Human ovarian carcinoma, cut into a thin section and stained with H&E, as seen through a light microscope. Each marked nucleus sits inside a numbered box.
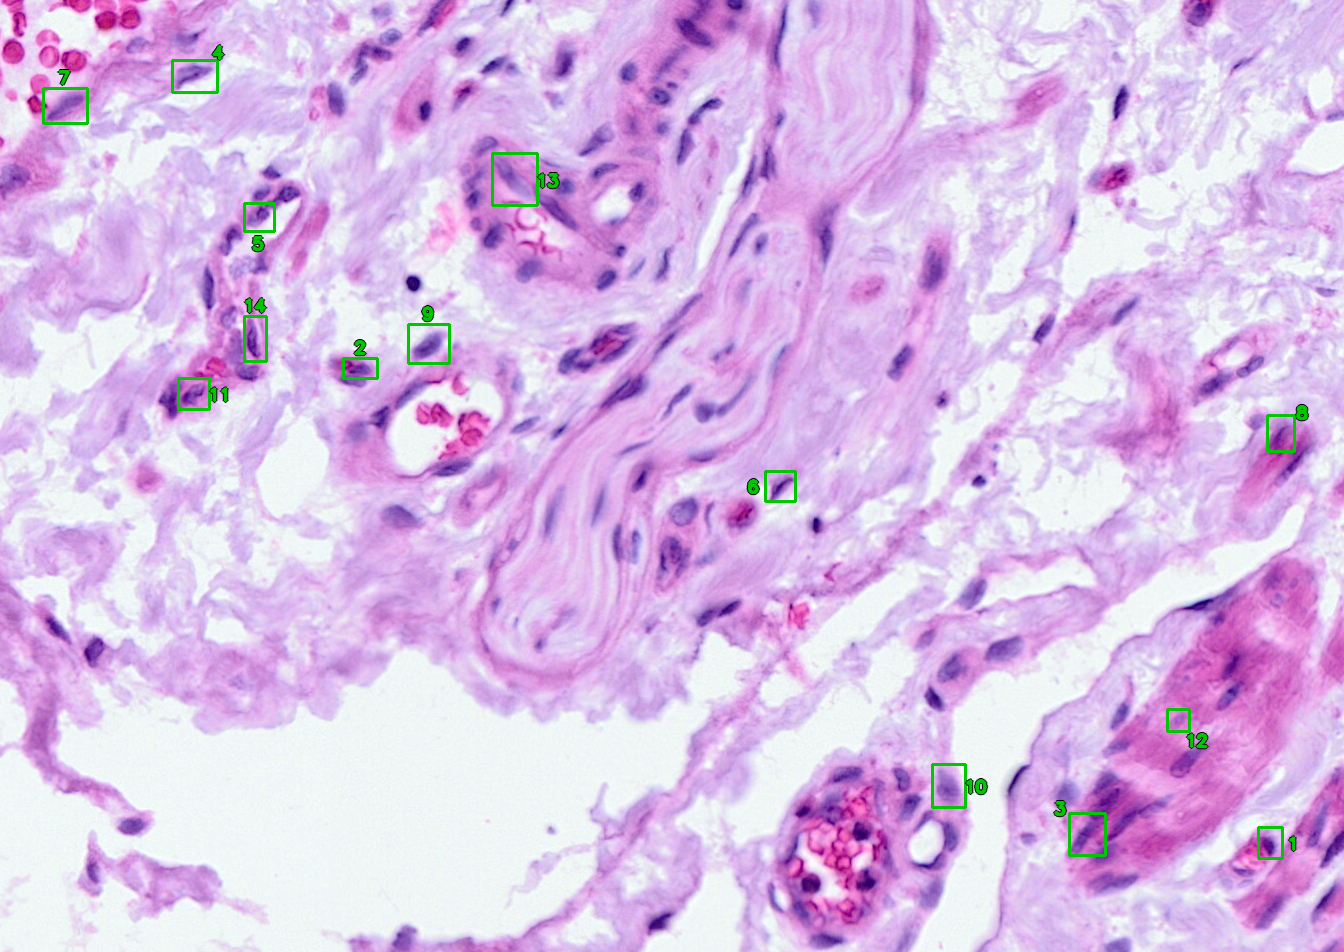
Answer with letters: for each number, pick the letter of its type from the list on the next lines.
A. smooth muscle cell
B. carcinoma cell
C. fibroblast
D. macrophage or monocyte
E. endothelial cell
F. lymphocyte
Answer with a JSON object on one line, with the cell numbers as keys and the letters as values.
{"1": "E", "2": "E", "3": "A", "4": "C", "5": "E", "6": "C", "7": "E", "8": "A", "9": "C", "10": "E", "11": "E", "12": "A", "13": "E", "14": "E"}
